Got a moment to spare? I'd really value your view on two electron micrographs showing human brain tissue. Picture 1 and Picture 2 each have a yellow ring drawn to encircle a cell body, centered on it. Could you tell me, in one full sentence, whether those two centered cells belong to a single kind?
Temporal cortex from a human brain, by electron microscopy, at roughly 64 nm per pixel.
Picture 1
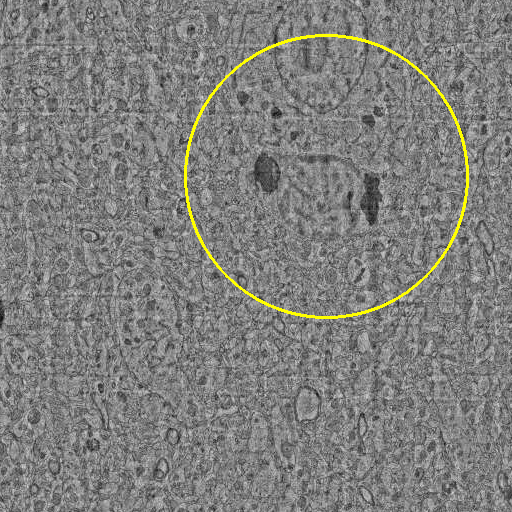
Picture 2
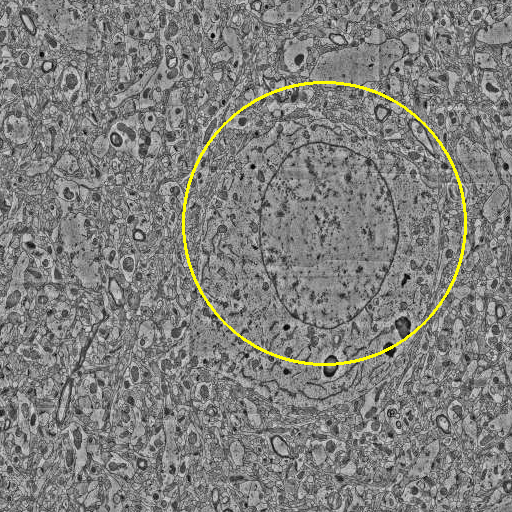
No, the two centered cells in Picture 1 and Picture 2 are of two kinds.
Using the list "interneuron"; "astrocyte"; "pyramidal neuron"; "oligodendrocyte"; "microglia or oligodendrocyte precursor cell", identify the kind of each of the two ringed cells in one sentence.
The first is an oligodendrocyte and the second is a pyramidal neuron.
